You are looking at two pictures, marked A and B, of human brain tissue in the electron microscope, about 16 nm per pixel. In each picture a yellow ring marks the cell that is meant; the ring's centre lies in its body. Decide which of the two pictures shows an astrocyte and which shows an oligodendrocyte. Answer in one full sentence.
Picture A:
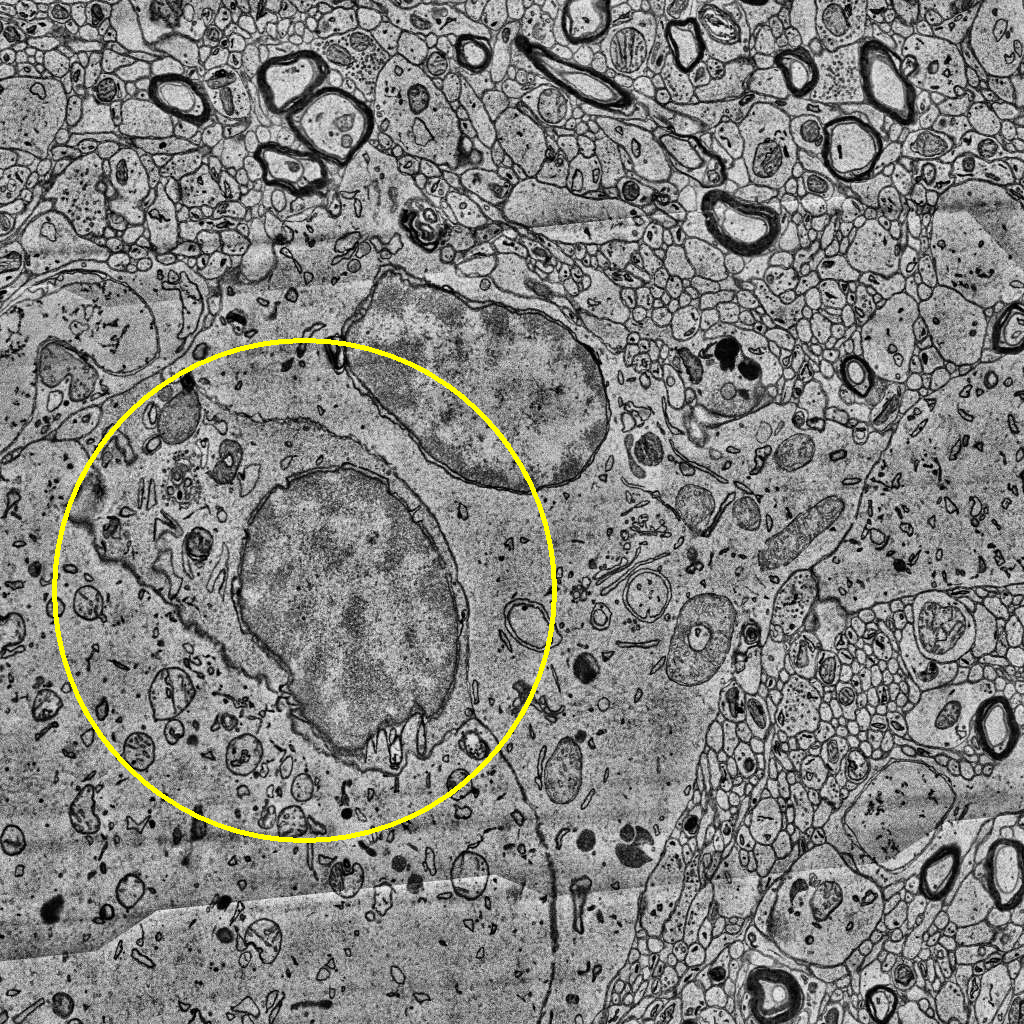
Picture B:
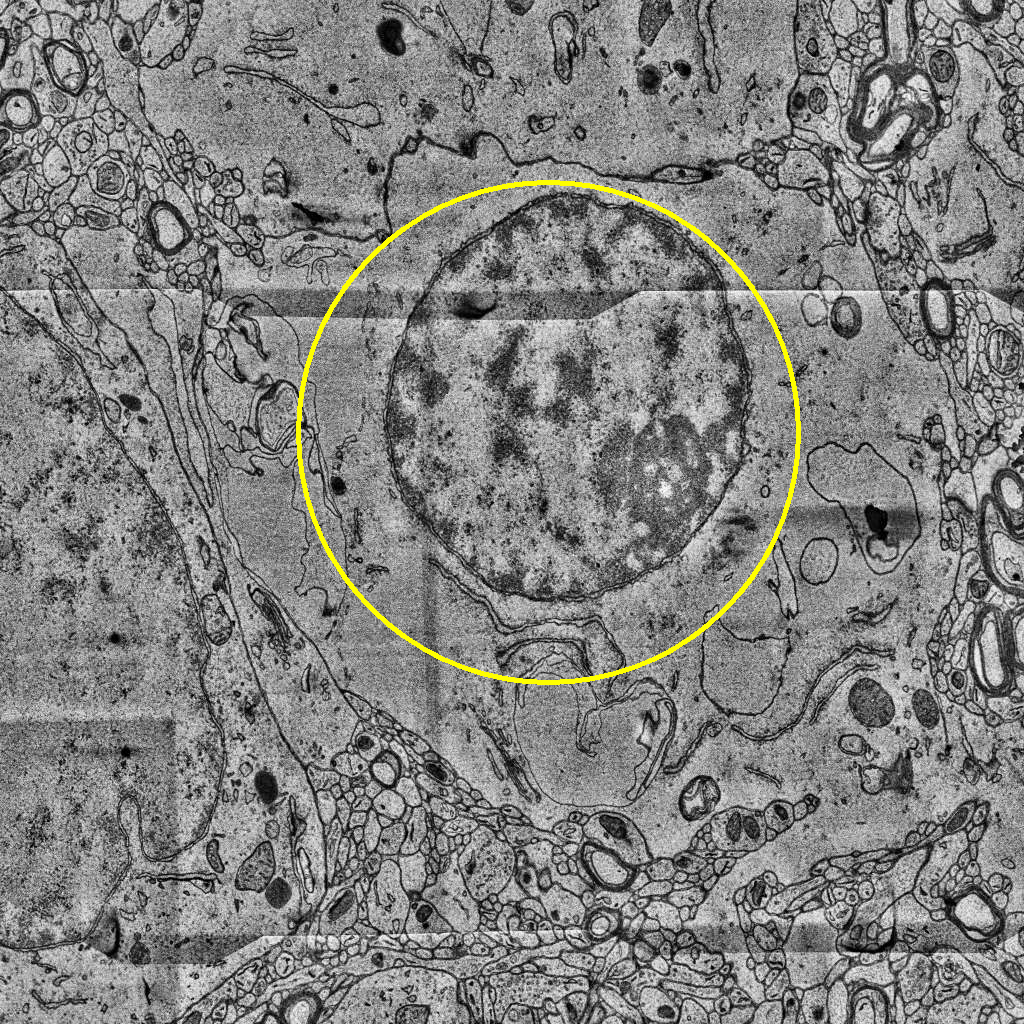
Picture A is of an oligodendrocyte, and picture B is of an astrocyte.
